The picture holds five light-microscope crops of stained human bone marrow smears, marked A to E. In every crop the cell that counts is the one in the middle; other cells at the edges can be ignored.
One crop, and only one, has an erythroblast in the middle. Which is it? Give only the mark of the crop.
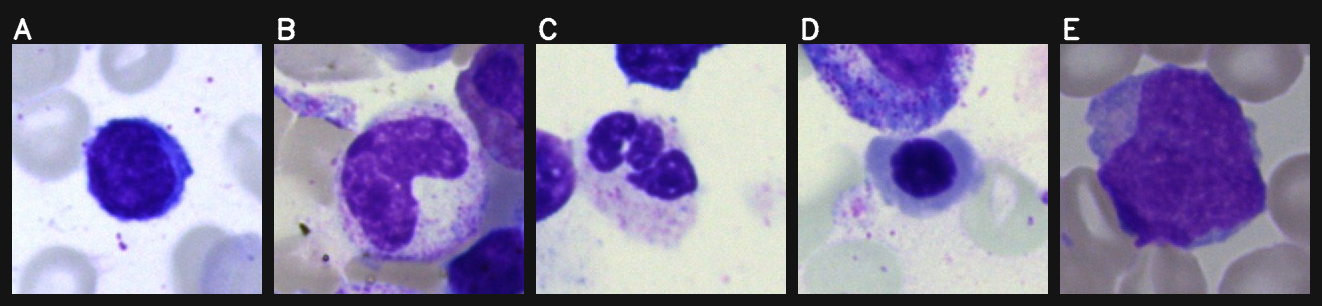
D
